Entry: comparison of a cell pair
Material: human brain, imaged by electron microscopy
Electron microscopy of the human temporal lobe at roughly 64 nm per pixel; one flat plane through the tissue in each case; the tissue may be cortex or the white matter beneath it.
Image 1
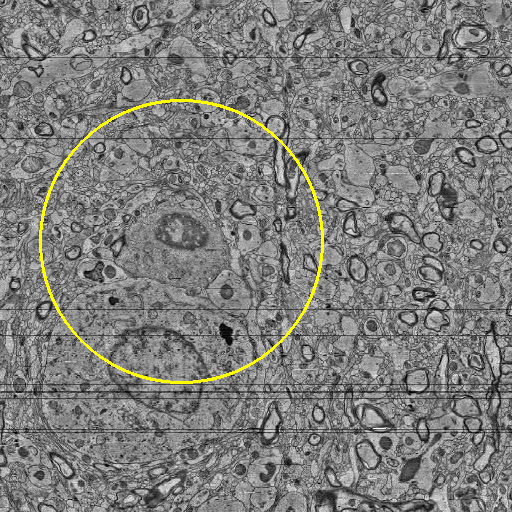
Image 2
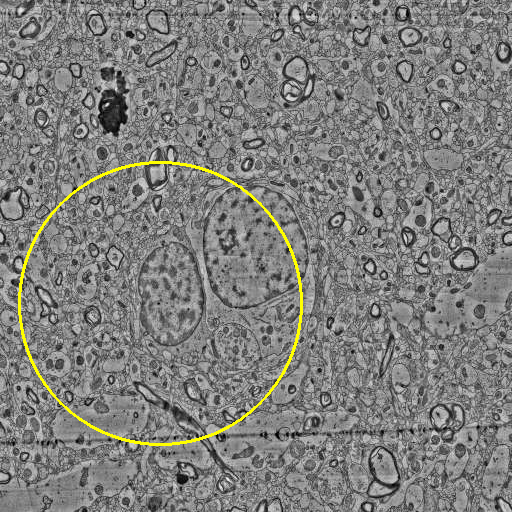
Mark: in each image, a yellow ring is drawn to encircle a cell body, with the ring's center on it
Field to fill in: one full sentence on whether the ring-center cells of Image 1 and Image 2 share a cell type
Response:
Yes, Image 1 and Image 2 each show a ring-center cell of one shared type.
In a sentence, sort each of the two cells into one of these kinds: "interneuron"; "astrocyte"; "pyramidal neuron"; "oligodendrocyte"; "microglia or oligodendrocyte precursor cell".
In the first picture and in the second, the ring is centred on an oligodendrocyte.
